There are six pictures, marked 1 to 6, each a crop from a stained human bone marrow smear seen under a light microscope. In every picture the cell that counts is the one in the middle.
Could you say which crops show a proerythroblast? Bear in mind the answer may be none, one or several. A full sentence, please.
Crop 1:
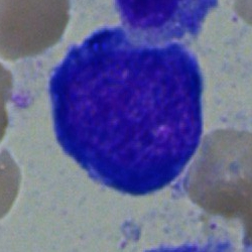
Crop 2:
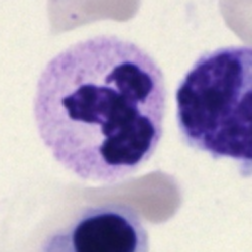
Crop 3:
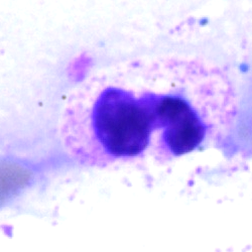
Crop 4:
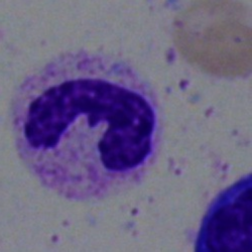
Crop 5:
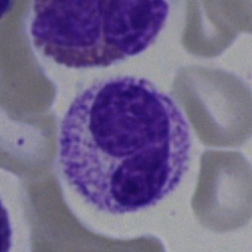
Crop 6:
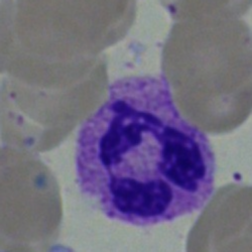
Apart from crop 1, no crop shows a proerythroblast.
